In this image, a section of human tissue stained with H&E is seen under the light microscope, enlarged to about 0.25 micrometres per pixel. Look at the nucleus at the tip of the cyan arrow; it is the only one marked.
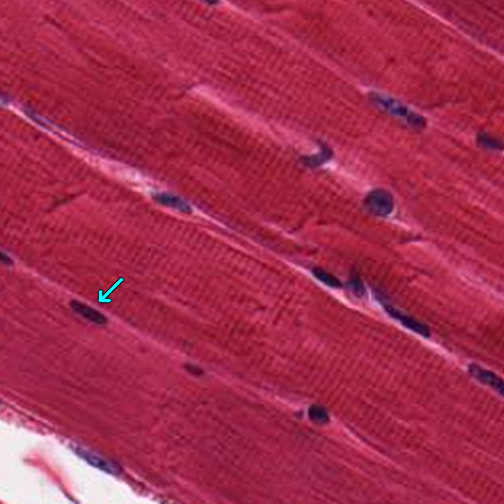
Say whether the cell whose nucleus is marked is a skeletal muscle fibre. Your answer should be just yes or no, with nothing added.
yes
